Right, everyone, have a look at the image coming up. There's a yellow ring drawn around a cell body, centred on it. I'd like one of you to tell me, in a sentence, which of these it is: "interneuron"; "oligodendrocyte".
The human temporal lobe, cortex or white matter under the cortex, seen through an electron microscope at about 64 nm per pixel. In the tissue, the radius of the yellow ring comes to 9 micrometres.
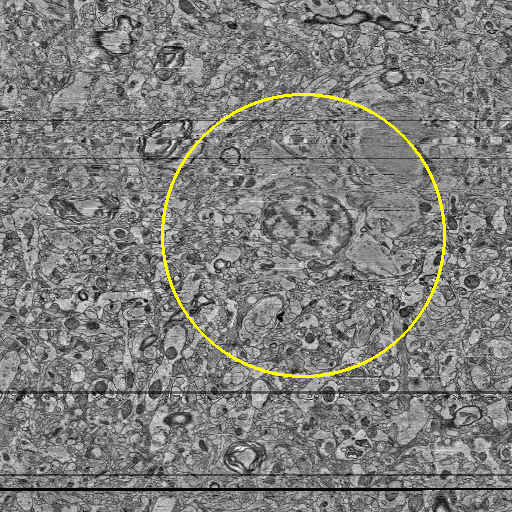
The yellow ring sits on an oligodendrocyte.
